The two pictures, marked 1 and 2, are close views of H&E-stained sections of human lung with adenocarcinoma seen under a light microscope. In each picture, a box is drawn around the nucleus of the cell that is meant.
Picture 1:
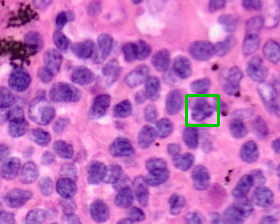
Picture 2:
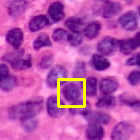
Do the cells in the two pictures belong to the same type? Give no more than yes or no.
yes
